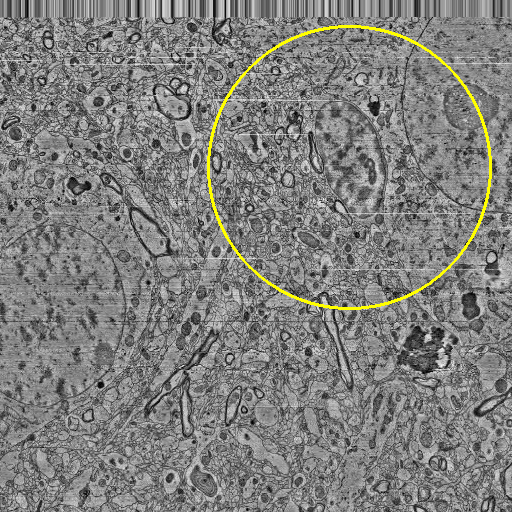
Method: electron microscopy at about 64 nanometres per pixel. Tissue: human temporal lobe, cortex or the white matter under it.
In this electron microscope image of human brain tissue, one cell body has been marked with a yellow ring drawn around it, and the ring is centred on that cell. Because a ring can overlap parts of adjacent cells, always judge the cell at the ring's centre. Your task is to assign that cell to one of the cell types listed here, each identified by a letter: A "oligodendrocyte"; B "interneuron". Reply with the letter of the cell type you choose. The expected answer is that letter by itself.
A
